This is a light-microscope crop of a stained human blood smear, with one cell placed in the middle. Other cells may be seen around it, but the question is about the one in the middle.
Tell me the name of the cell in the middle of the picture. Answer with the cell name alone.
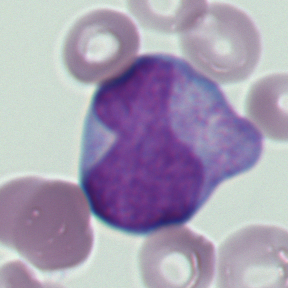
atypical promyelocyte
